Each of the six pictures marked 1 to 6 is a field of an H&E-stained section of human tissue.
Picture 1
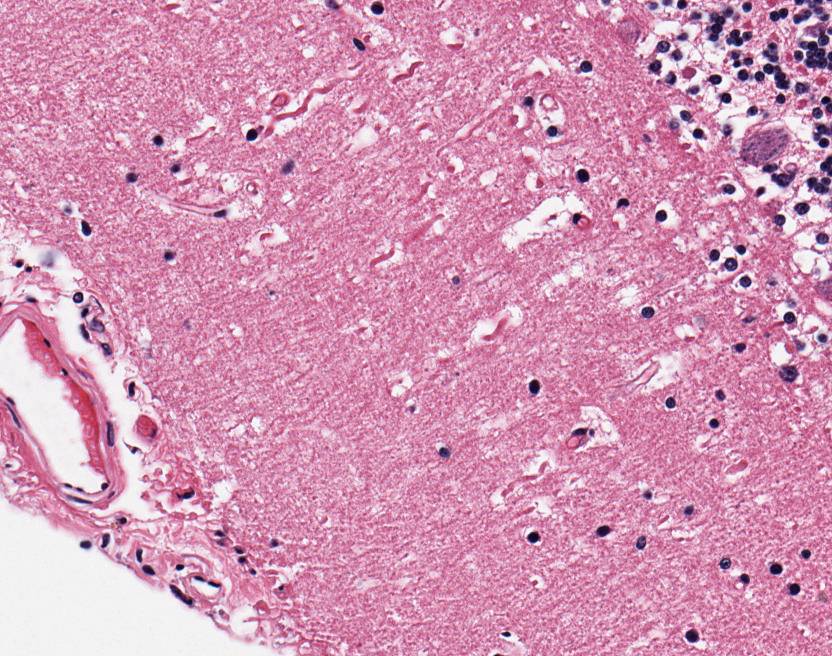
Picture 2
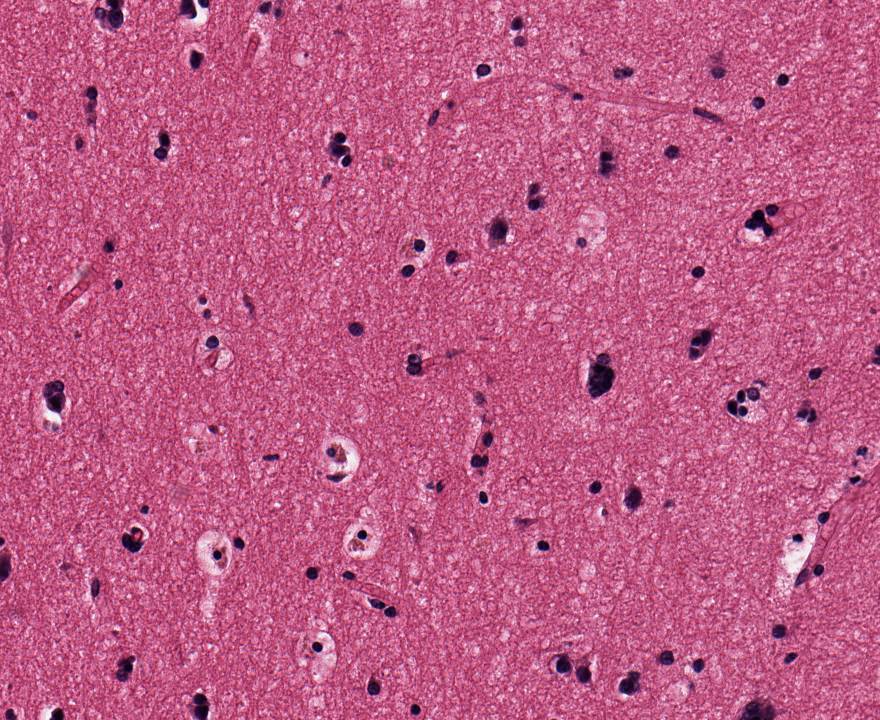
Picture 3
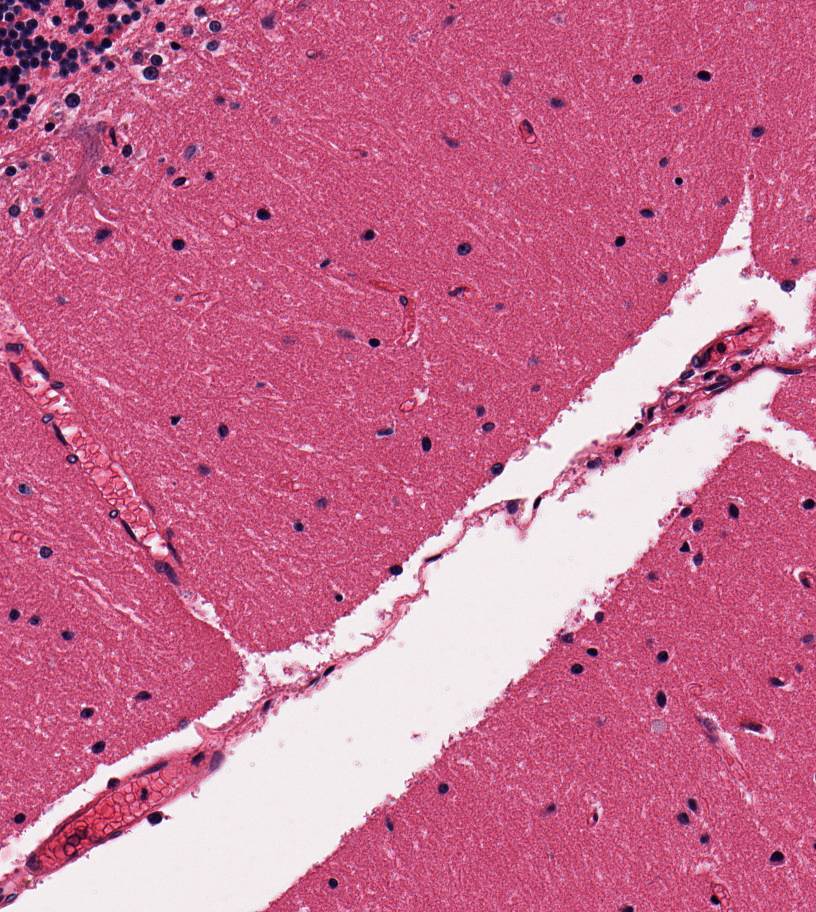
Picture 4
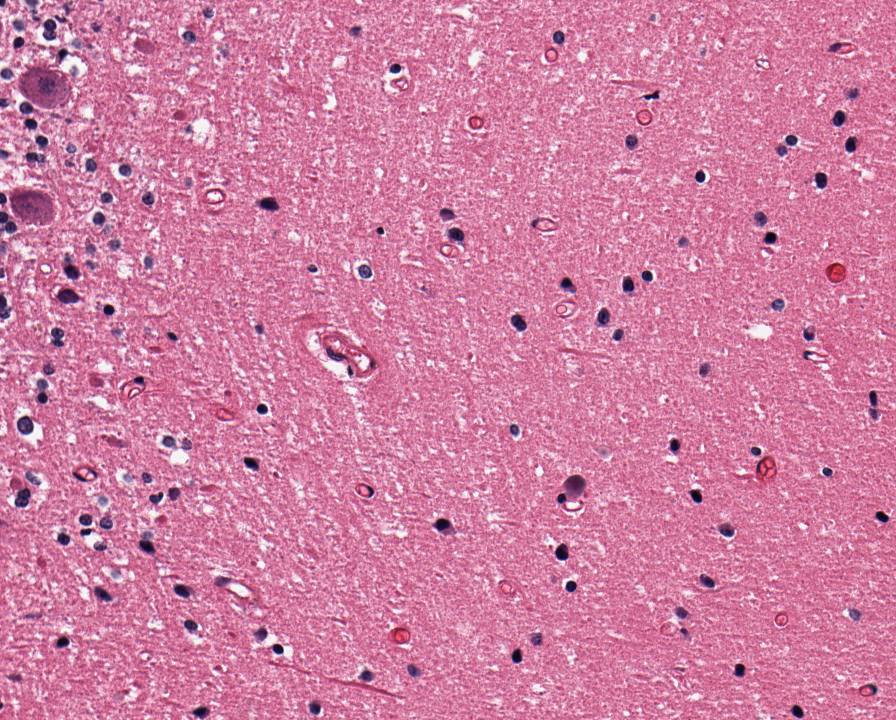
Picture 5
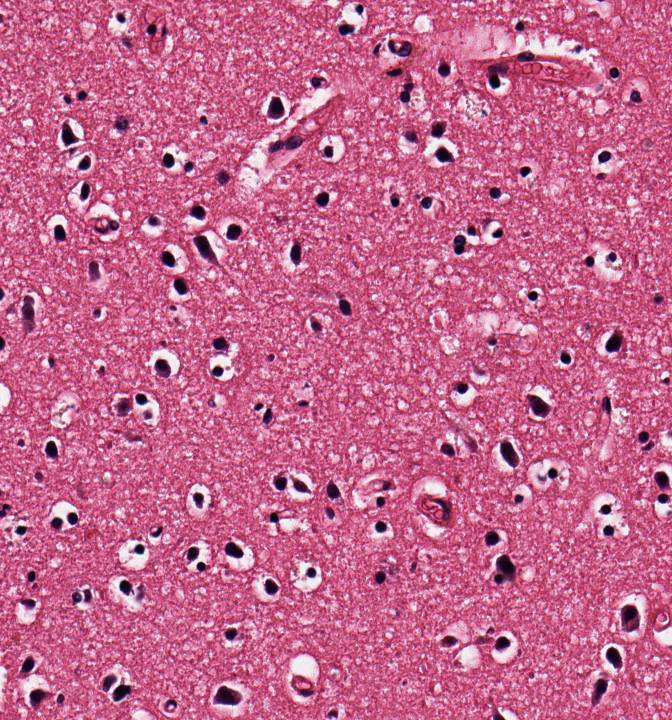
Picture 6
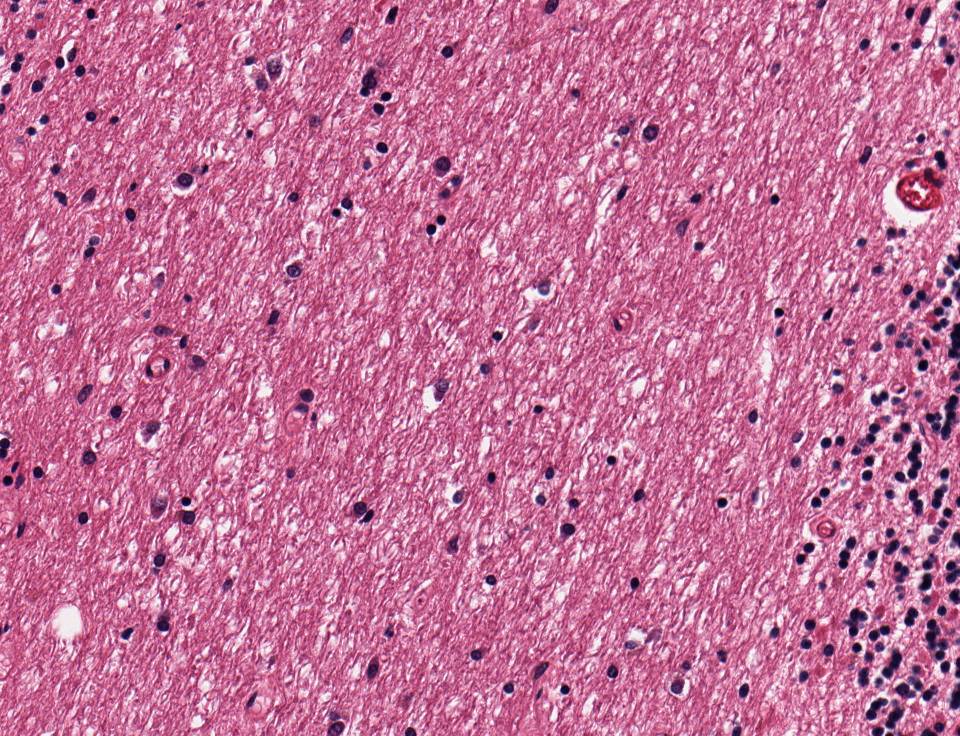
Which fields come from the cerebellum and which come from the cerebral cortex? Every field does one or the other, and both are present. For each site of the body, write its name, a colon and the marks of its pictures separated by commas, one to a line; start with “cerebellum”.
cerebellum: 1, 3, 4, 6
cerebral cortex: 2, 5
